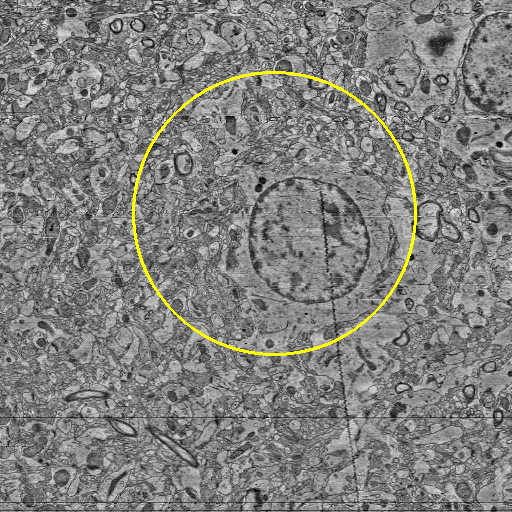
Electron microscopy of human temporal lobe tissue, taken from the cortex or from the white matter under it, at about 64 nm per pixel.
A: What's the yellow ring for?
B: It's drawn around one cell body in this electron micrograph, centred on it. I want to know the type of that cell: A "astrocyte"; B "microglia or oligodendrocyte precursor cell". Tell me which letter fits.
A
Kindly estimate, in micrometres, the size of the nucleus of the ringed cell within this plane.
About 8 micrometers across, in this plane.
